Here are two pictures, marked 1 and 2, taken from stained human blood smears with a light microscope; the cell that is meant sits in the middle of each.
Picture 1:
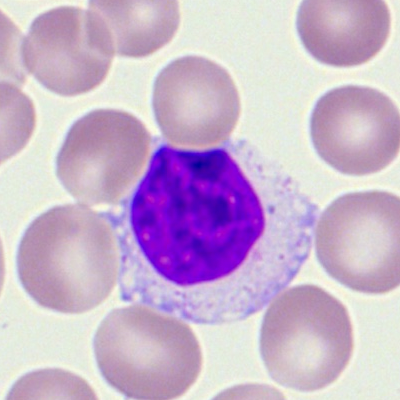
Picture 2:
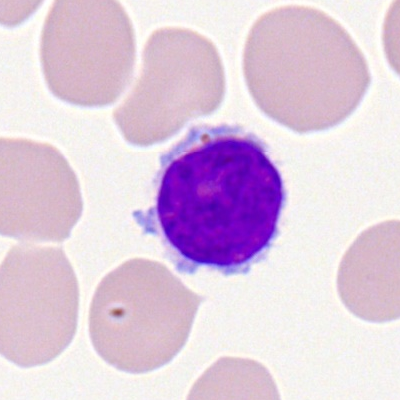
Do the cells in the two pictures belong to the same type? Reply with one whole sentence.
Yes, the two pictures both show lymphocytes.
